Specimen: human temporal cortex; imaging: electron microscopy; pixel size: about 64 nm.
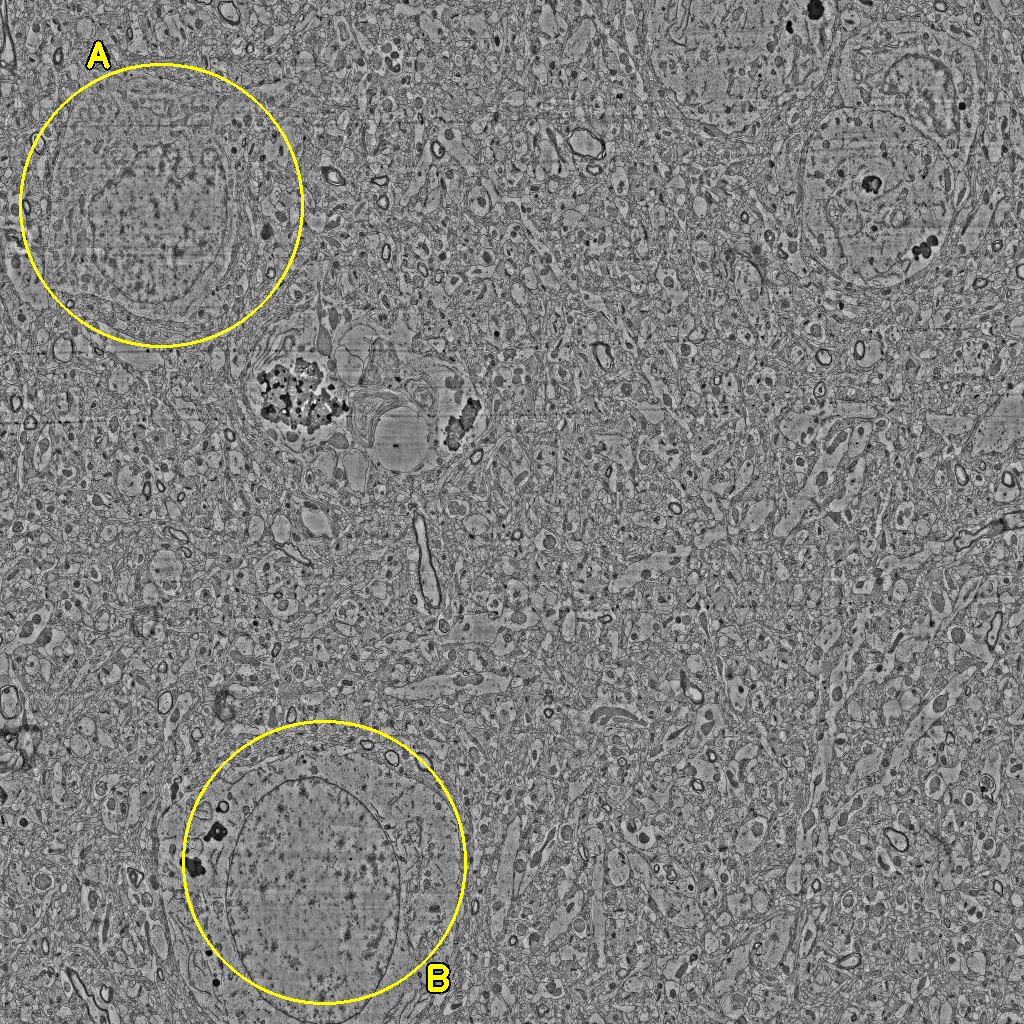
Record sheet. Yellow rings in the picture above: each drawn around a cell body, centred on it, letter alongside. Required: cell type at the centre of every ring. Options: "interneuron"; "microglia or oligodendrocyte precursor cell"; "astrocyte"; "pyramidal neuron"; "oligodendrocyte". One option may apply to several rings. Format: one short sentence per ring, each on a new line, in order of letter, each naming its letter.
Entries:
Ring A contains an interneuron at the centre.
Ring B contains a pyramidal neuron at the centre.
